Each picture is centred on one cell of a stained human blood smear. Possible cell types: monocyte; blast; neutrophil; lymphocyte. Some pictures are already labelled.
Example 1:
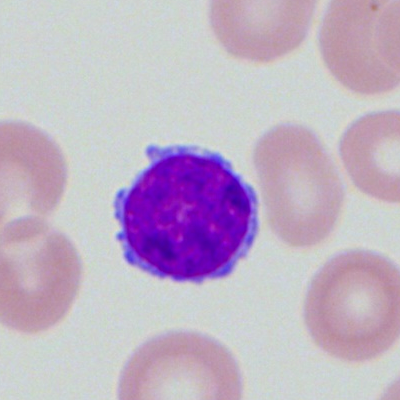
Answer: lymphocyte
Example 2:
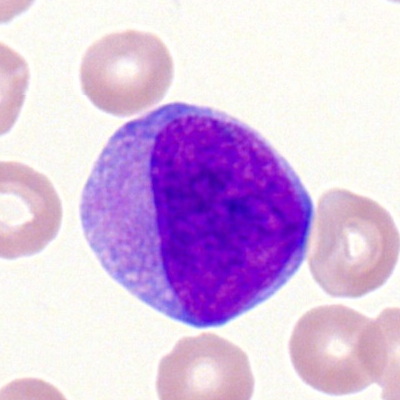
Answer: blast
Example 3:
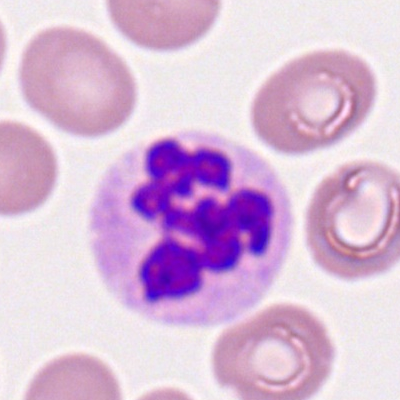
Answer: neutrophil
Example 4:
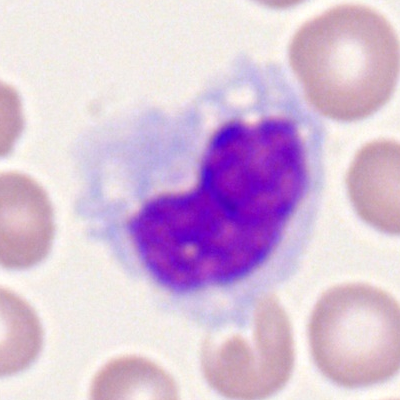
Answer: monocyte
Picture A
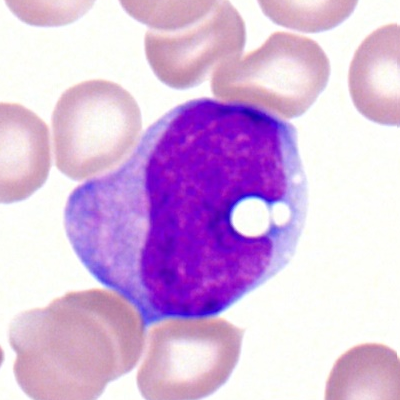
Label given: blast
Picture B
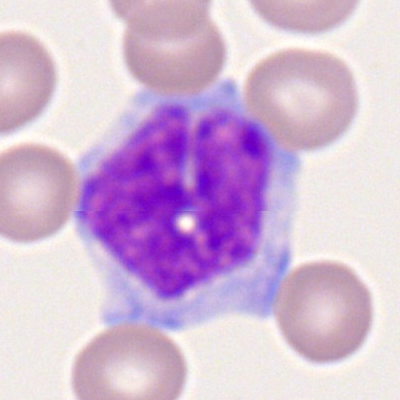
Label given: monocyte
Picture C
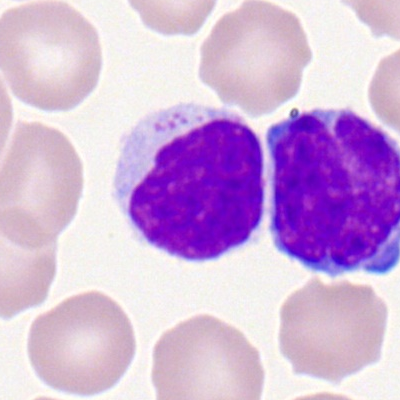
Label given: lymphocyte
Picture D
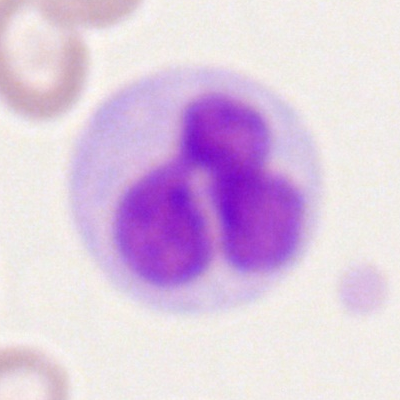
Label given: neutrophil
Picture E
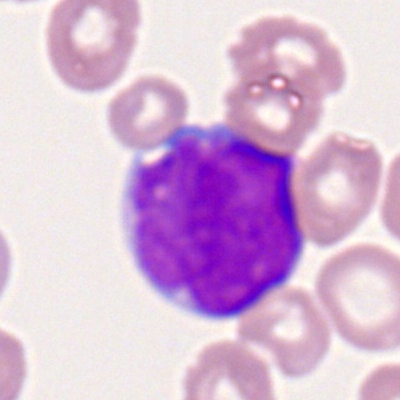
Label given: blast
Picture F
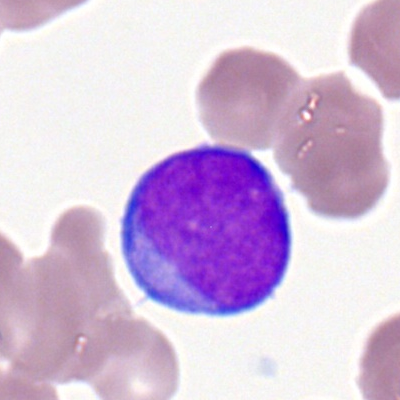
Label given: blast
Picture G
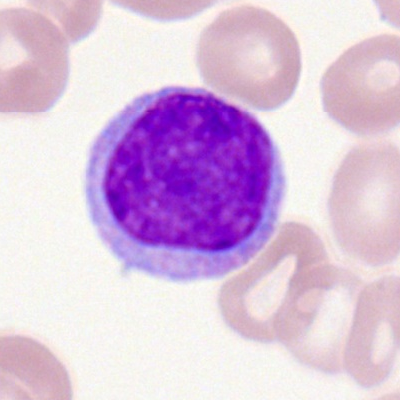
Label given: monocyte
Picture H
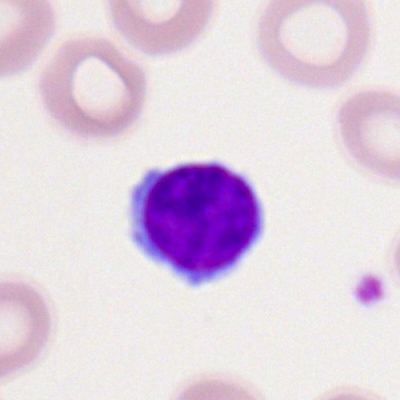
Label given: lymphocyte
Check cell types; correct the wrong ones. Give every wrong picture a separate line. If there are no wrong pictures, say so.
D: monocyte, not neutrophil
G: lymphocyte, not monocyte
